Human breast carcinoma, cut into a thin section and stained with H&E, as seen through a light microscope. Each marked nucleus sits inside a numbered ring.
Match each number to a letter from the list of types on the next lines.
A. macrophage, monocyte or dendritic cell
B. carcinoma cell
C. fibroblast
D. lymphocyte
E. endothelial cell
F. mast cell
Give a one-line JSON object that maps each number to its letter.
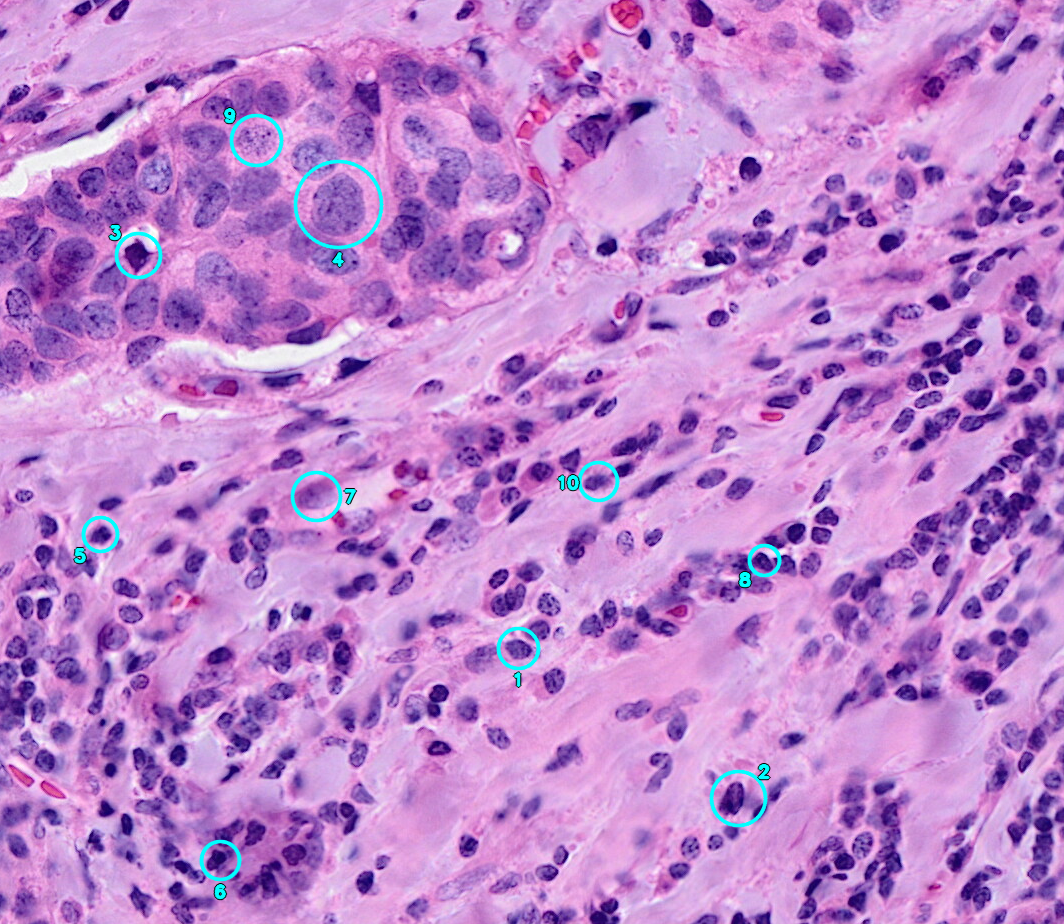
{"1": "D", "2": "D", "3": "B", "4": "B", "5": "D", "6": "D", "7": "E", "8": "D", "9": "B", "10": "D"}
